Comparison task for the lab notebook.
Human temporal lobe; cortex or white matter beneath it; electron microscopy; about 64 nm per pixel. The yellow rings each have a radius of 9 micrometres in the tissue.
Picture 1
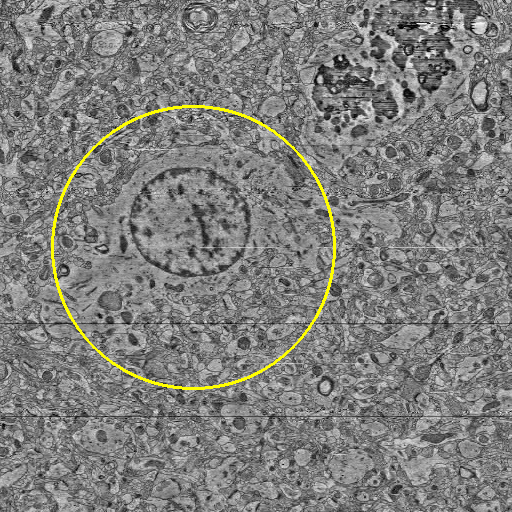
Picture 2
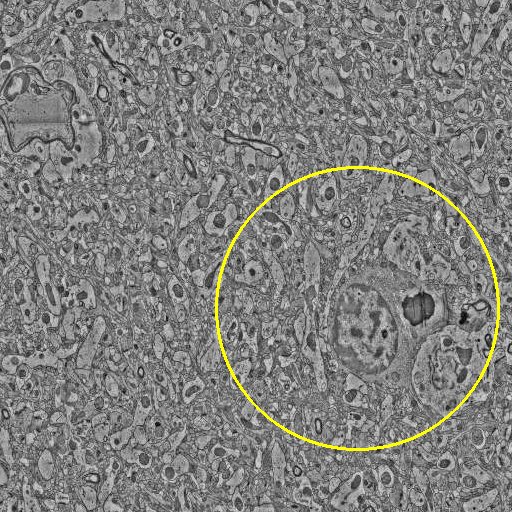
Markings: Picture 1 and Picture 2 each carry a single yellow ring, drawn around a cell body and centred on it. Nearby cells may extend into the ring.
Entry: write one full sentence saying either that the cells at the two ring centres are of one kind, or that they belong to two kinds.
The cells sitting at the ring centres in Picture 1 and Picture 2 belong to two kinds.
